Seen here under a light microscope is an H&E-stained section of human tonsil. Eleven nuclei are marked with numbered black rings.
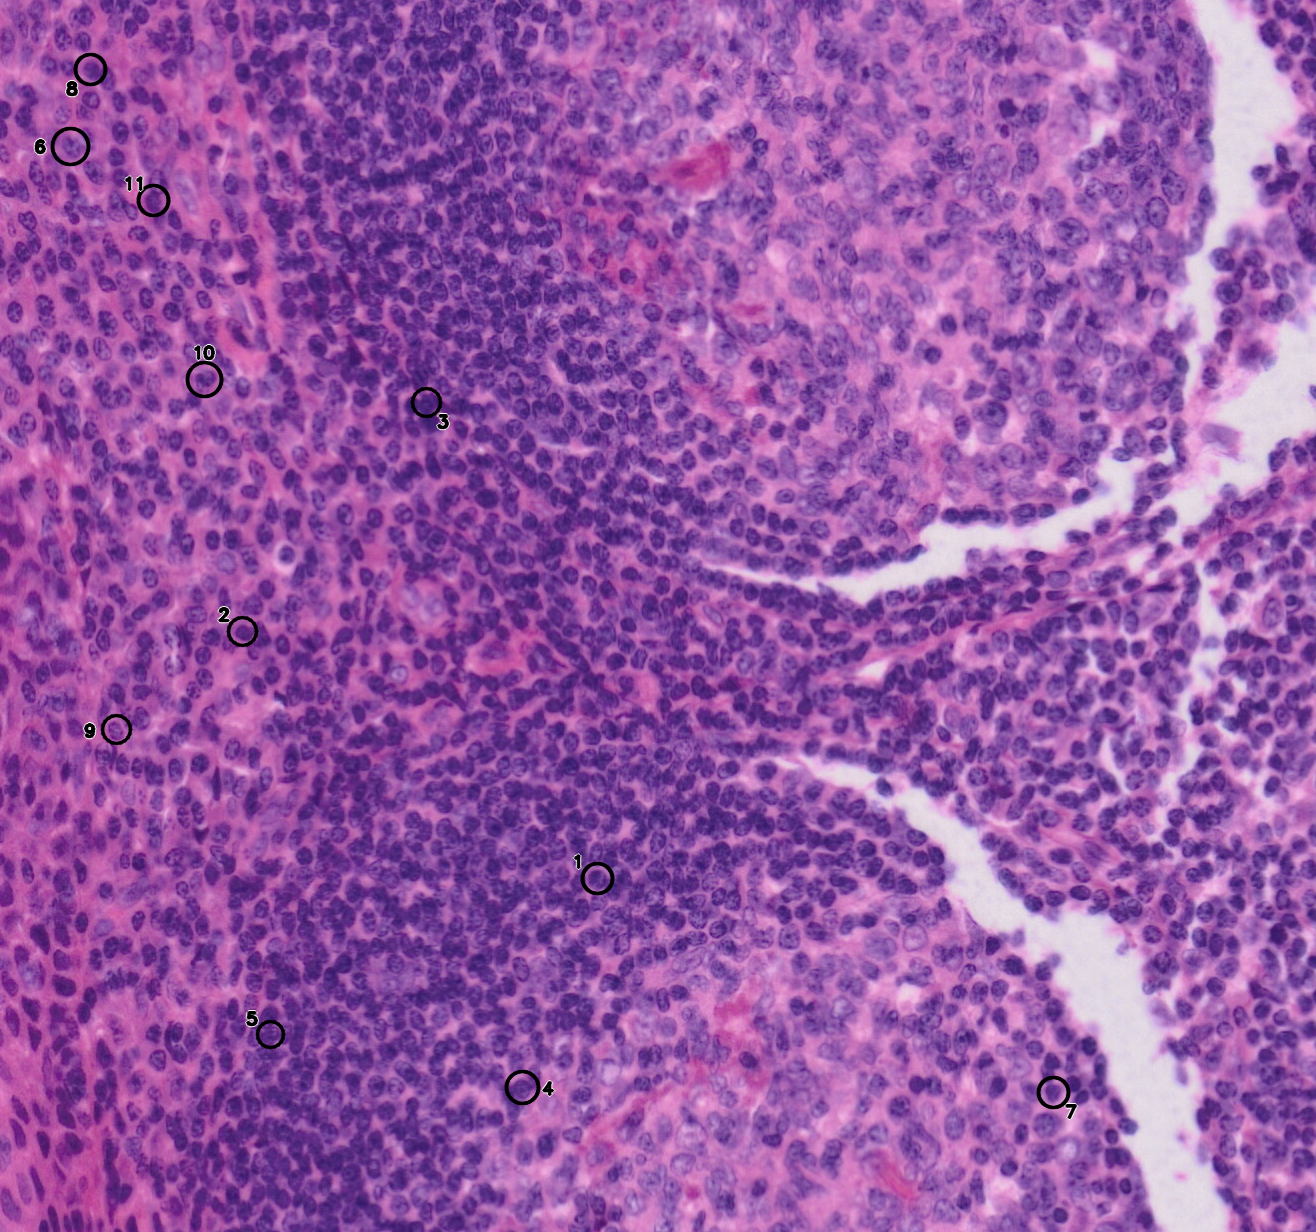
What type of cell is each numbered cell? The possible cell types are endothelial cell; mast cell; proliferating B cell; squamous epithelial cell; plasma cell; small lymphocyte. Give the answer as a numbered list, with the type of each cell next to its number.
1. small lymphocyte
2. plasma cell
3. small lymphocyte
4. small lymphocyte
5. small lymphocyte
6. plasma cell
7. small lymphocyte
8. plasma cell
9. plasma cell
10. plasma cell
11. plasma cell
